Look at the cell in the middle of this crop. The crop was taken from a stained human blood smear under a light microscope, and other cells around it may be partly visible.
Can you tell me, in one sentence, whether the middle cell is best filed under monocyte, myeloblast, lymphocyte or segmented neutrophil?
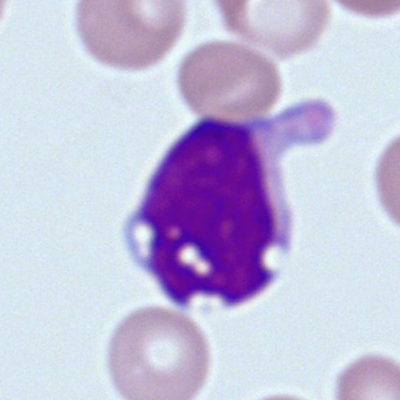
The cell featured at the centre of this crop is a myeloblast.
